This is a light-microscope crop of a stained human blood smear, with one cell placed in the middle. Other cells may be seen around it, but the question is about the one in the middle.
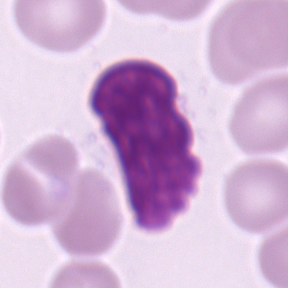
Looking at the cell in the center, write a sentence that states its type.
The cell of interest, in the center, is a smudge cell.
